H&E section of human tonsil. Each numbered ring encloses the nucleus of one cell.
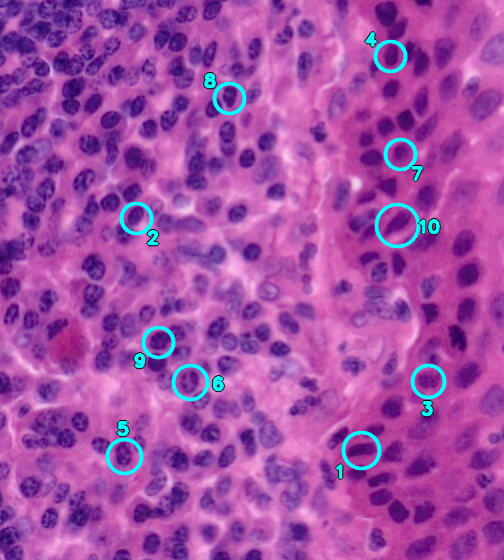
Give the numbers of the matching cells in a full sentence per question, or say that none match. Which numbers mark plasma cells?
In short, the numbered cells 2, 5, 6, 8 and 9 are plasma cells.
